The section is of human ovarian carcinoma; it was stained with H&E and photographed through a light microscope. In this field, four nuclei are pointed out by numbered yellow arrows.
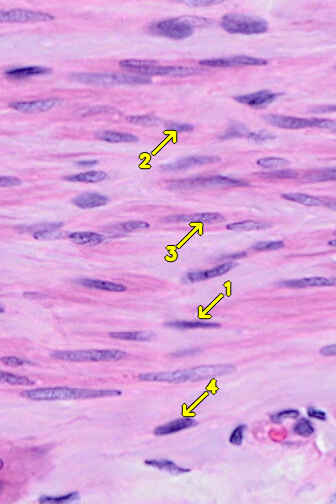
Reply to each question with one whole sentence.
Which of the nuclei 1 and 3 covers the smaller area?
Nucleus 3 is the smaller one; nucleus 1 covers about 1.5 times its area.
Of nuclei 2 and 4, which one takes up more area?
Nucleus 4 covers more area, about 2 times as much as nucleus 2.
